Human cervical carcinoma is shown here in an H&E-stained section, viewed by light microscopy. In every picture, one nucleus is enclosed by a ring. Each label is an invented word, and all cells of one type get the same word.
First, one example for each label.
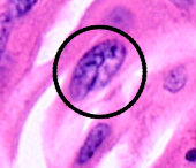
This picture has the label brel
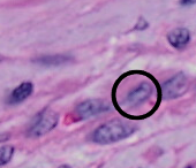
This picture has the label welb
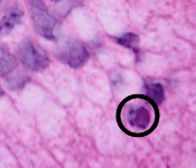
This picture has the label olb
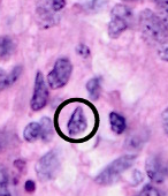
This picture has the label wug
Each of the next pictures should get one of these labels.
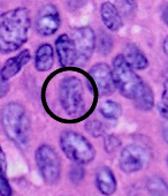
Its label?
brel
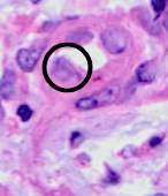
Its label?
welb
